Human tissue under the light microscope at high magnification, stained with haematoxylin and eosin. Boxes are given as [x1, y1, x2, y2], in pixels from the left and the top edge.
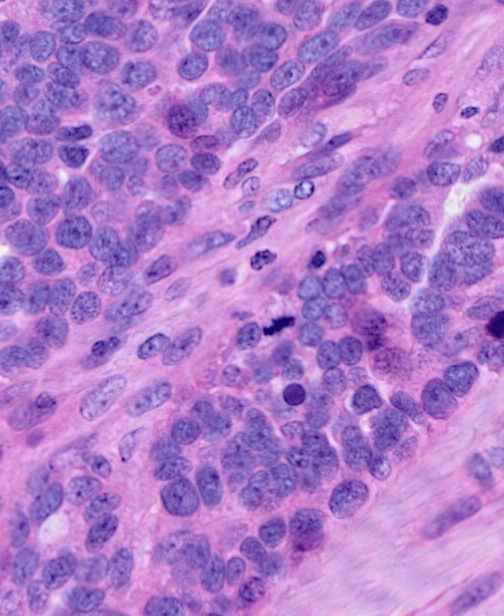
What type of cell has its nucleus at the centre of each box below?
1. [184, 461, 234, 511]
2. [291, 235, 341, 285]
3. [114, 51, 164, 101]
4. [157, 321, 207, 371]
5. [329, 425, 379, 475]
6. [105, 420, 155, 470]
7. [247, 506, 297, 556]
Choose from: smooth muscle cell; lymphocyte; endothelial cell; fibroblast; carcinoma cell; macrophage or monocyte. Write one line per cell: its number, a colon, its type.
1: carcinoma cell
2: lymphocyte
3: carcinoma cell
4: fibroblast
5: carcinoma cell
6: fibroblast
7: carcinoma cell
